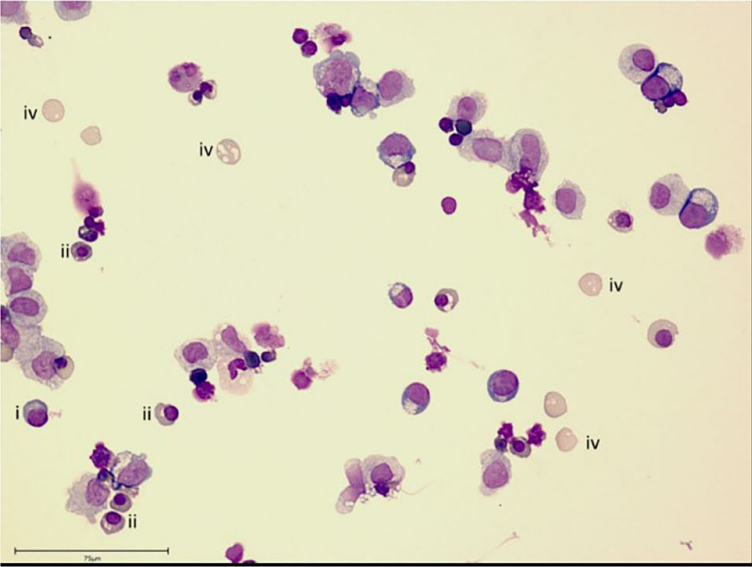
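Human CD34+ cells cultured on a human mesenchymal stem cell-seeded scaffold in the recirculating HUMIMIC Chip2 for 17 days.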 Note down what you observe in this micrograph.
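Some round cells have a large purple nucleus and a deep blue rim of cytoplasm, smaller ones have a dark round nucleus and greyish cytoplasm, and pale pink round cells without any nucleus lie scattered between them. Larger cells with abundant pale, ragged cytoplasm and oval nuclei are spread among them.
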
